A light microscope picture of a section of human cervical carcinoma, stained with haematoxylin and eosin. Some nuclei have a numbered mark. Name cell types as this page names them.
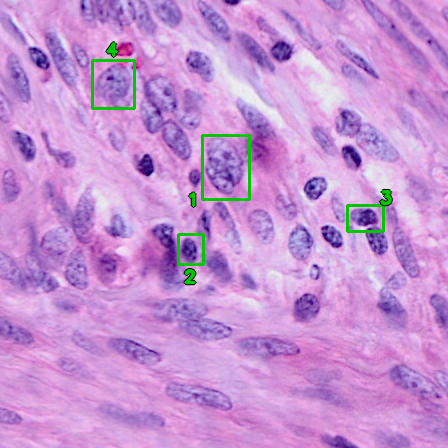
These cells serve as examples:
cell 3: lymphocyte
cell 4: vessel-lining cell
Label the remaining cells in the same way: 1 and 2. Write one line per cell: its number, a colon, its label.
1: vessel-lining cell
2: lymphocyte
